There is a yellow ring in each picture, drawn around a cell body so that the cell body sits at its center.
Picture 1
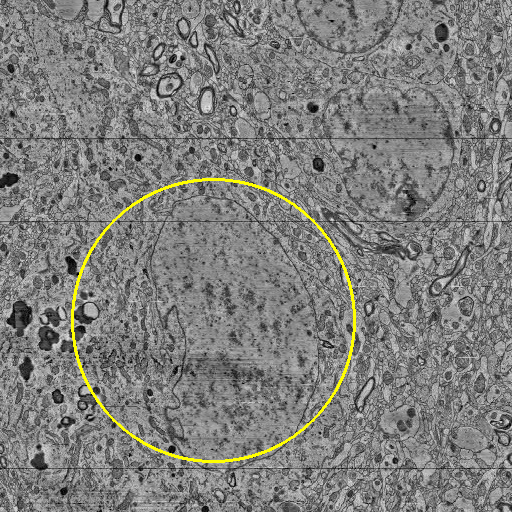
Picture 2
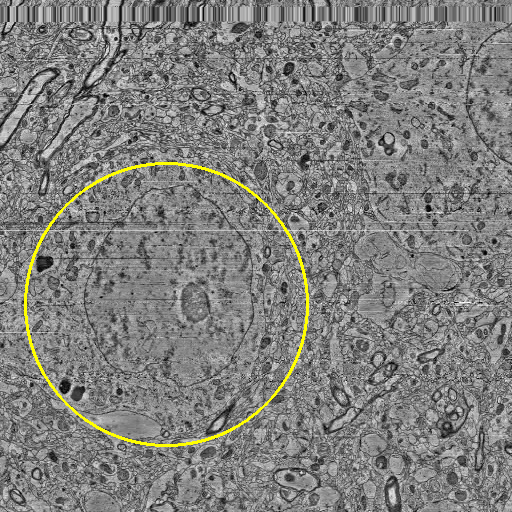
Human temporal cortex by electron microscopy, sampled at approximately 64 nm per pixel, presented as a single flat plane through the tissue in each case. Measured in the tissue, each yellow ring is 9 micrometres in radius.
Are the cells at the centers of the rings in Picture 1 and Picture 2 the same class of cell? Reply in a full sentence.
Yes, the two cells are the same class of cell.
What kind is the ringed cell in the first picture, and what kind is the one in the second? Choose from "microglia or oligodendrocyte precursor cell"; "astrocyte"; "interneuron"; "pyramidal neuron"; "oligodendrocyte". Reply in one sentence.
Each of the two cells is a pyramidal neuron.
